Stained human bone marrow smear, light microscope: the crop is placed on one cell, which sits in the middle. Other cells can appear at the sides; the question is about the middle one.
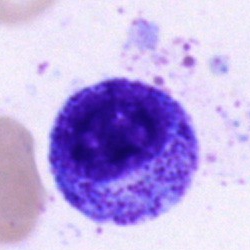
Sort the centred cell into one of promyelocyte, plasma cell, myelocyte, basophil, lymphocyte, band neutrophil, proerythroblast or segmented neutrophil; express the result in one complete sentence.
The cell that lies at the centre of the crop is a promyelocyte.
